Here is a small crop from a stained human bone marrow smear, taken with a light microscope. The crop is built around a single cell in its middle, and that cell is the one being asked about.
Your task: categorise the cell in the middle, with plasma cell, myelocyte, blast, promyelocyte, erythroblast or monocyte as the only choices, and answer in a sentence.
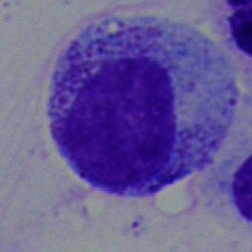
The central cell in this smear crop is a myelocyte.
